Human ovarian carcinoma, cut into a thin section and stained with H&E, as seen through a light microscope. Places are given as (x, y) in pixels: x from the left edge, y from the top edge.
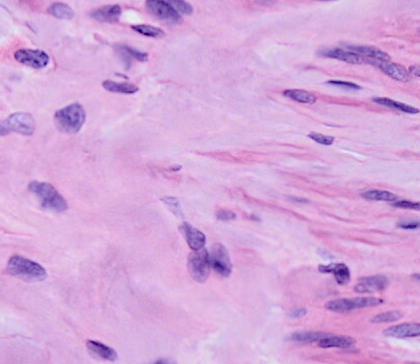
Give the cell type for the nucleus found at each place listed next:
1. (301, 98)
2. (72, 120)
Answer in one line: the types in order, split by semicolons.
smooth muscle cell; fibroblast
